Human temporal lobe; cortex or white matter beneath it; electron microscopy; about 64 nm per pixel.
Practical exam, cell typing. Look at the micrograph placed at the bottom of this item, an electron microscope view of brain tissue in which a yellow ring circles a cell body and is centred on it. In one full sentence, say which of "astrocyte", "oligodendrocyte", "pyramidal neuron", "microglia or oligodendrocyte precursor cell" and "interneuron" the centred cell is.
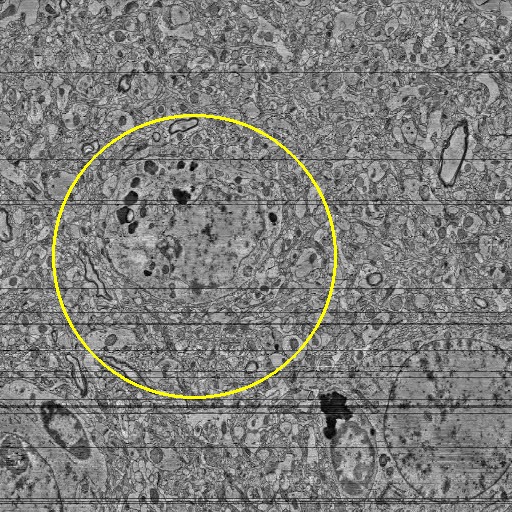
Given the options, an interneuron fits the cell whose body the yellow ring is centred on.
